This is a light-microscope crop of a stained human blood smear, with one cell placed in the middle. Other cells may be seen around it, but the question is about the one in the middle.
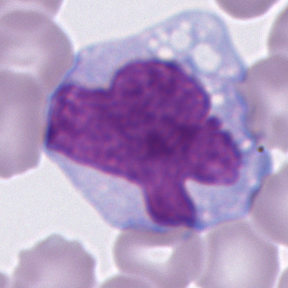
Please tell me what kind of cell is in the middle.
monocyte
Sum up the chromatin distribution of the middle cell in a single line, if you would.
The chromatin remains finely textured, with no coarse clumps to speak of.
